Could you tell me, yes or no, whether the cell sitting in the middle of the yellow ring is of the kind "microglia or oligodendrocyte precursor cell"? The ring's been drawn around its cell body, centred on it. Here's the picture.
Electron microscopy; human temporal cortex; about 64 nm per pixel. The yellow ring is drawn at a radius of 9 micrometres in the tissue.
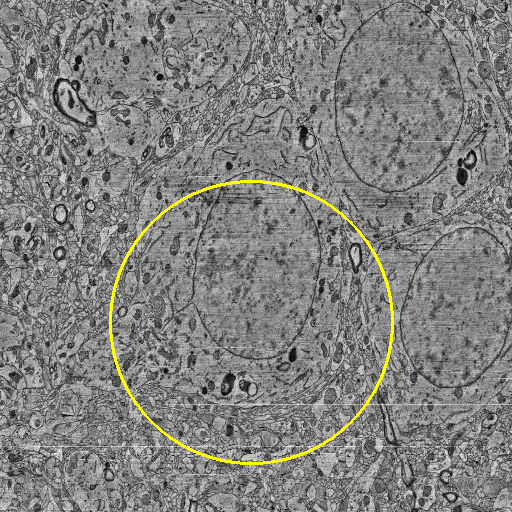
No, it is of another kind.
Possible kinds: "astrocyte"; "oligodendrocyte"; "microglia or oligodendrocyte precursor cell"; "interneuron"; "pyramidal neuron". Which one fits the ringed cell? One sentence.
The cell in question here is a pyramidal neuron.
